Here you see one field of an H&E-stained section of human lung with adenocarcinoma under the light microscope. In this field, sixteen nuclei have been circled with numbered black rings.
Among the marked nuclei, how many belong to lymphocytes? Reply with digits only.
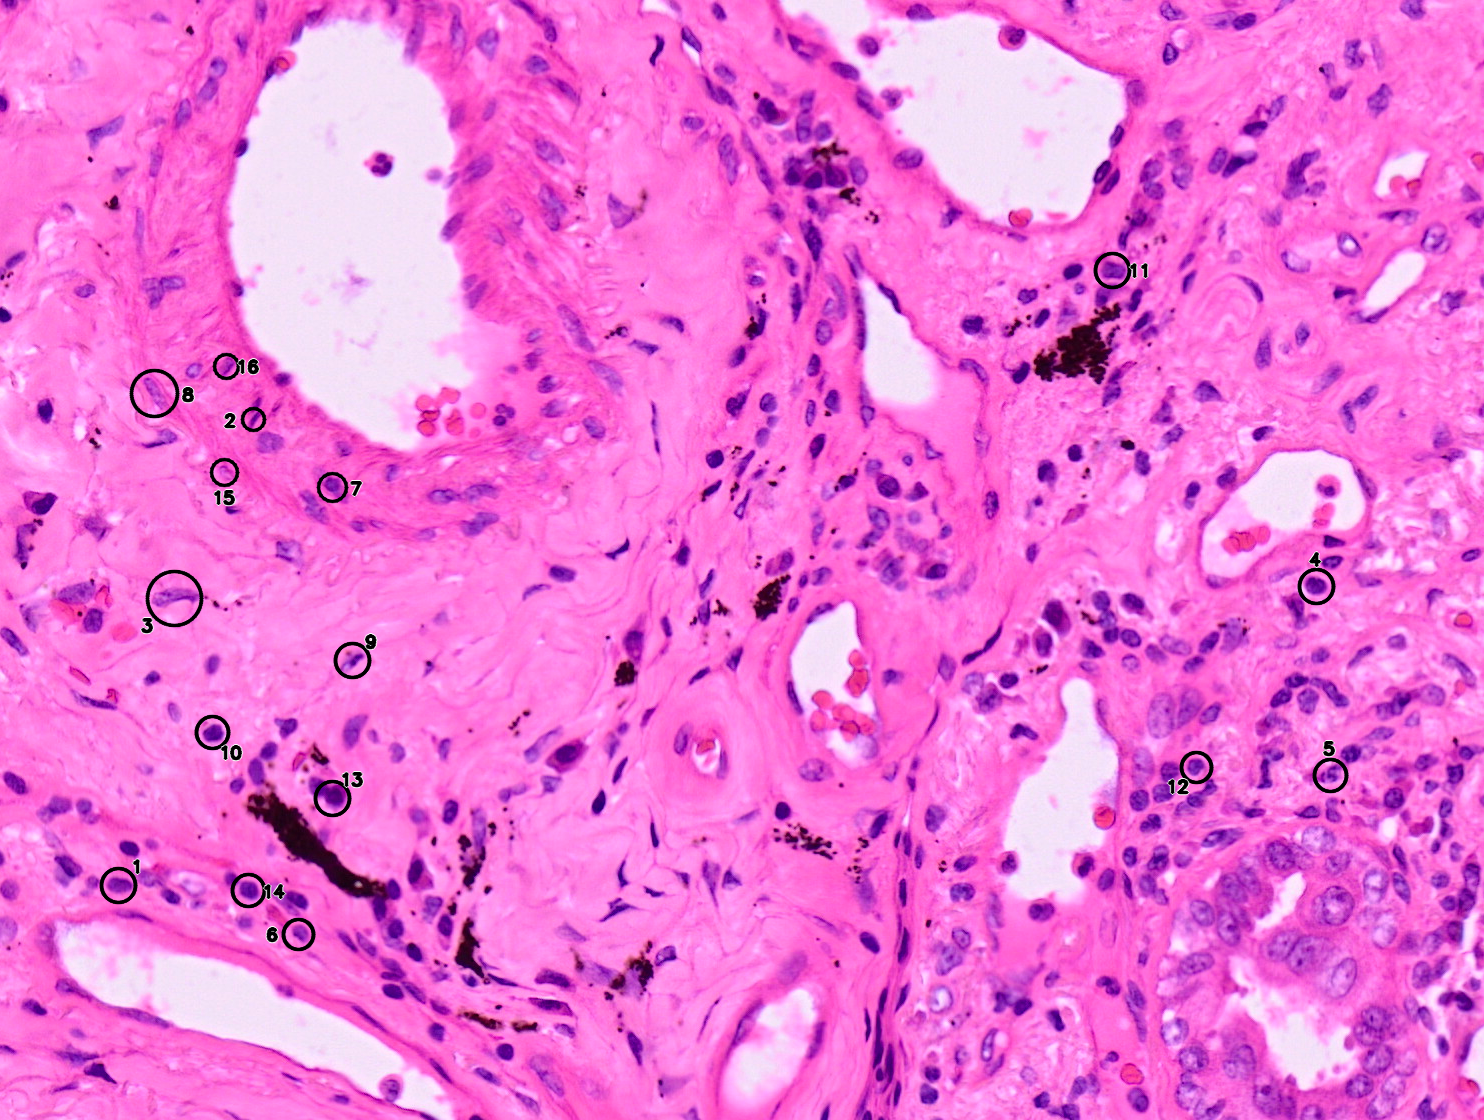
6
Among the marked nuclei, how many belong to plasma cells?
3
